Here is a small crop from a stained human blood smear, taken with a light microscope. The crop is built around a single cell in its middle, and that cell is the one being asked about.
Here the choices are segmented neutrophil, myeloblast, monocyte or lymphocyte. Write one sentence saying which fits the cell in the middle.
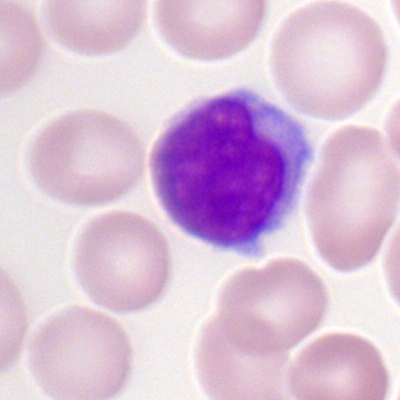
By type, the central cell of the crop is a lymphocyte.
